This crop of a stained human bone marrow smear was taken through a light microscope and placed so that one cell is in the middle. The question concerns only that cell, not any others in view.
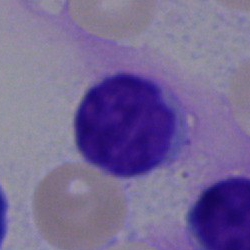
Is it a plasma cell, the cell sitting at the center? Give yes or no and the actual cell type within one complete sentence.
No, the one in the center is not a plasma cell; it is a lymphocyte.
